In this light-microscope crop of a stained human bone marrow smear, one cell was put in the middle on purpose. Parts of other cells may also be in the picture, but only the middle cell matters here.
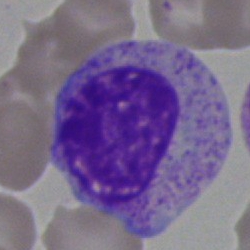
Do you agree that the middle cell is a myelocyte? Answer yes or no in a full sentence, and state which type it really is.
Yes, the middle cell is classified as a myelocyte.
